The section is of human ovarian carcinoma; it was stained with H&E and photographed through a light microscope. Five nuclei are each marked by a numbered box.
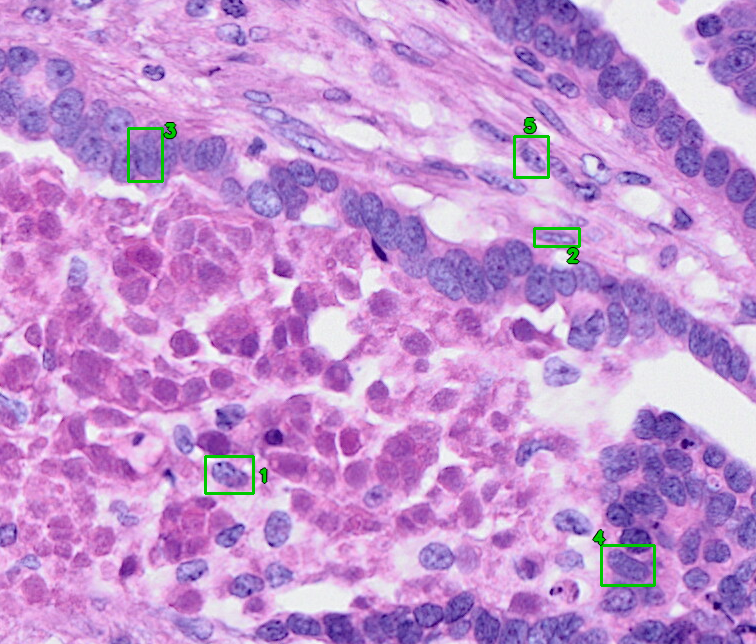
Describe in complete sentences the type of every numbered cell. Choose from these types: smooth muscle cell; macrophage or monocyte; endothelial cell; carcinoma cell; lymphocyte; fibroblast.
Cell 1 is a macrophage or monocyte. Cells 2 and 5 are fibroblasts. Cells 3 and 4 are carcinoma cells.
